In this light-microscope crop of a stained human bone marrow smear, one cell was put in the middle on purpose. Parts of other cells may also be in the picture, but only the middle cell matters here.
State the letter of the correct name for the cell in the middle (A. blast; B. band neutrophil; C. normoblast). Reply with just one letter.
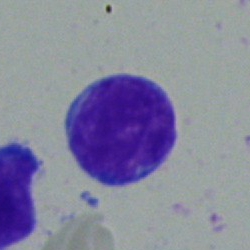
A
